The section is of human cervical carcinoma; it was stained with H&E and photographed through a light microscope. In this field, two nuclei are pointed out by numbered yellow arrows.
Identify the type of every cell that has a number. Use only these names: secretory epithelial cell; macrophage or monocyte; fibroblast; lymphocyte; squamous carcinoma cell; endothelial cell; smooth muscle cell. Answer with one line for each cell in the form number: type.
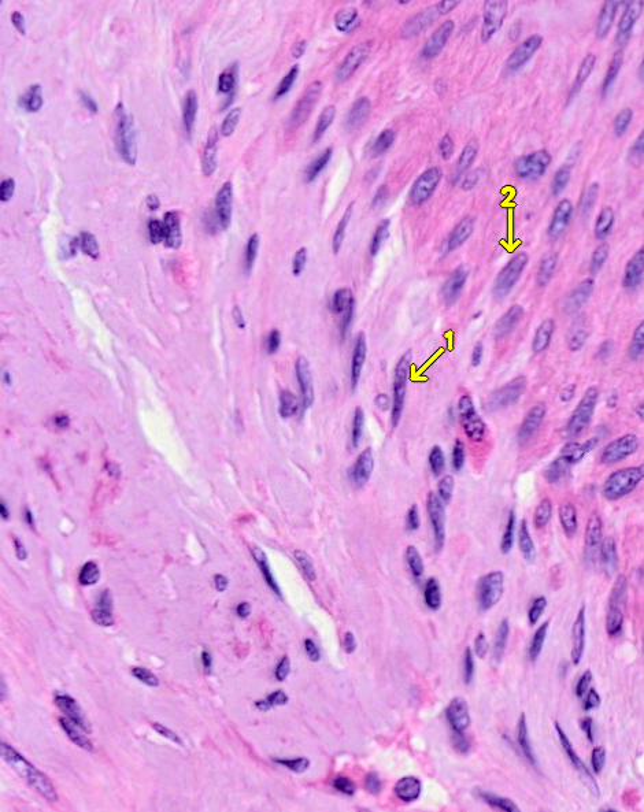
1: fibroblast
2: smooth muscle cell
